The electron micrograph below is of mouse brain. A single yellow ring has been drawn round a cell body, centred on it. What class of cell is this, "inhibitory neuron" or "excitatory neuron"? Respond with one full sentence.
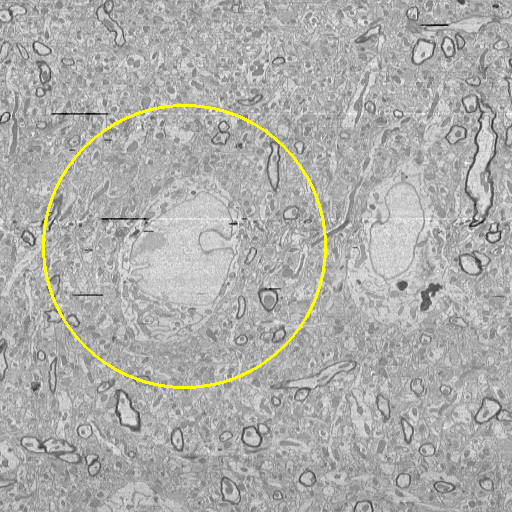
In the micrograph, the cell centred inside the yellow ring is an inhibitory neuron.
